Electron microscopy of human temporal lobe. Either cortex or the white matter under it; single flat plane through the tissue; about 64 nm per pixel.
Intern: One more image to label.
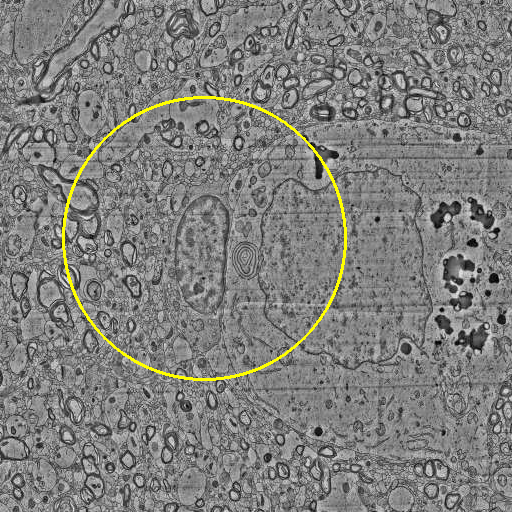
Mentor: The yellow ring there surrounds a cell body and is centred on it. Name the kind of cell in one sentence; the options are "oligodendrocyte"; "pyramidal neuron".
The ring marks the cell body of an oligodendrocyte.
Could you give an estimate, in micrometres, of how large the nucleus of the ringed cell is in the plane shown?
The nucleus is about 8 micrometres in length and 3 in width, clearly longer than it is wide in this plane.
